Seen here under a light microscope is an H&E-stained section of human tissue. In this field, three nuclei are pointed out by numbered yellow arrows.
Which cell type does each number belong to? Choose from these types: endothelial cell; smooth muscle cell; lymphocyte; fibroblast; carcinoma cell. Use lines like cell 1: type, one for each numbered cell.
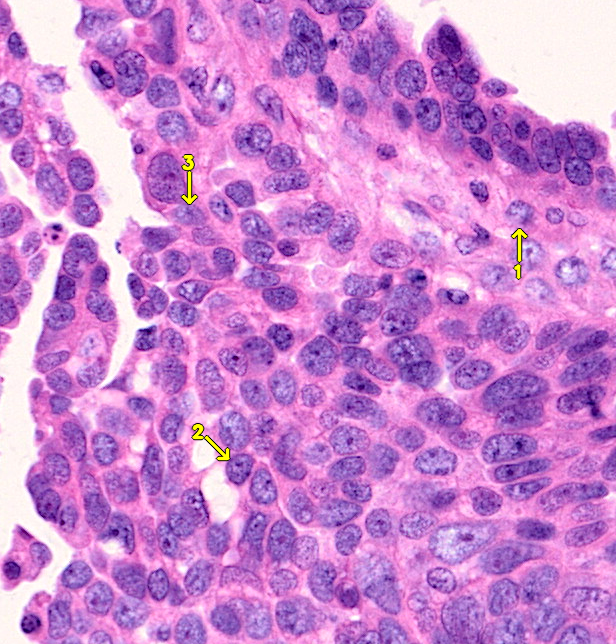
cell 1: fibroblast
cell 2: carcinoma cell
cell 3: carcinoma cell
